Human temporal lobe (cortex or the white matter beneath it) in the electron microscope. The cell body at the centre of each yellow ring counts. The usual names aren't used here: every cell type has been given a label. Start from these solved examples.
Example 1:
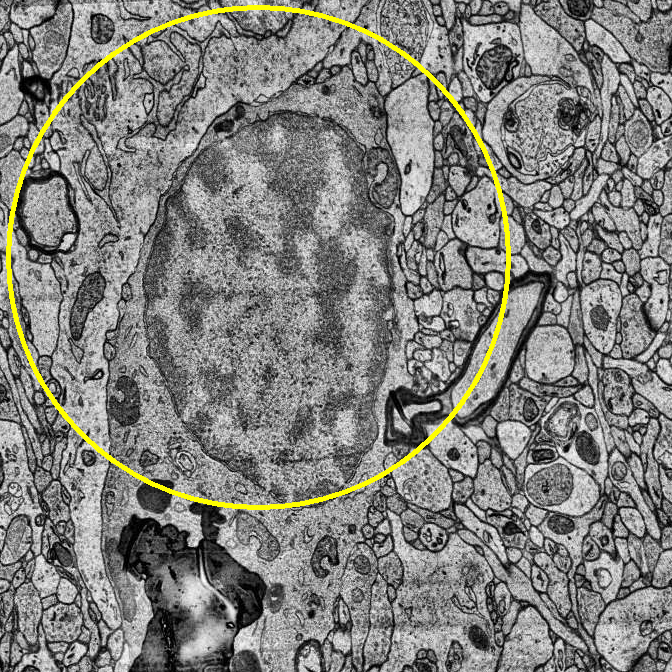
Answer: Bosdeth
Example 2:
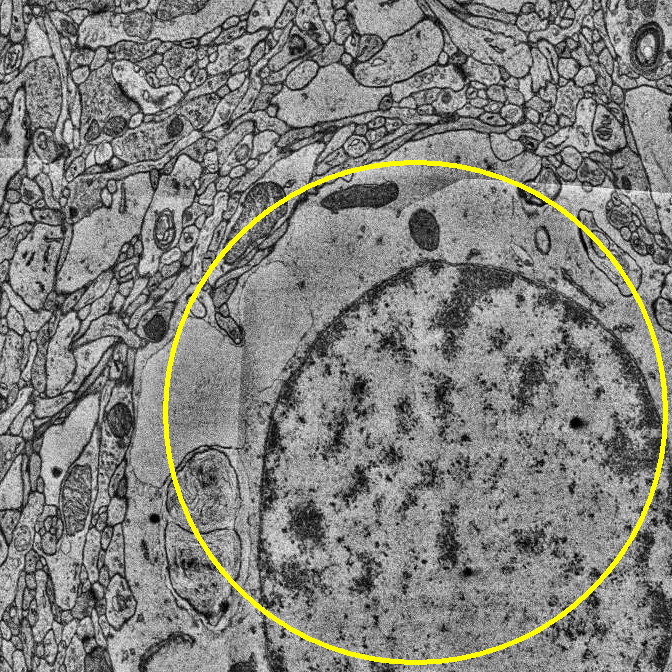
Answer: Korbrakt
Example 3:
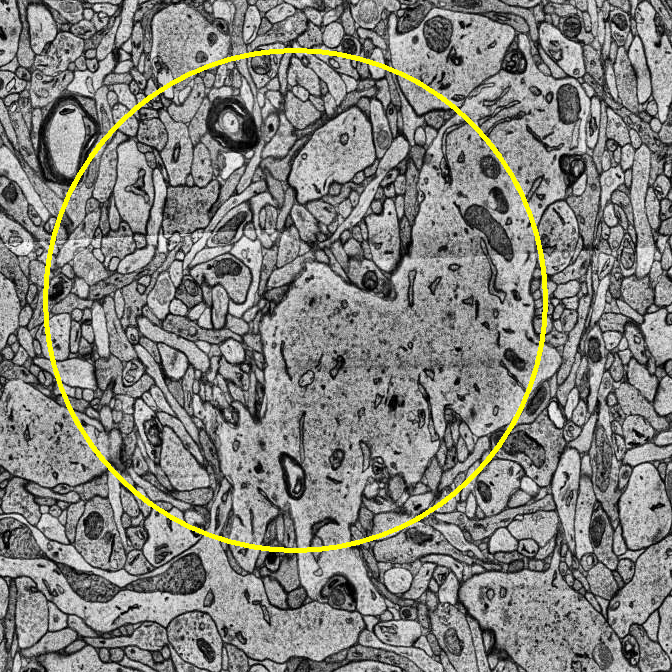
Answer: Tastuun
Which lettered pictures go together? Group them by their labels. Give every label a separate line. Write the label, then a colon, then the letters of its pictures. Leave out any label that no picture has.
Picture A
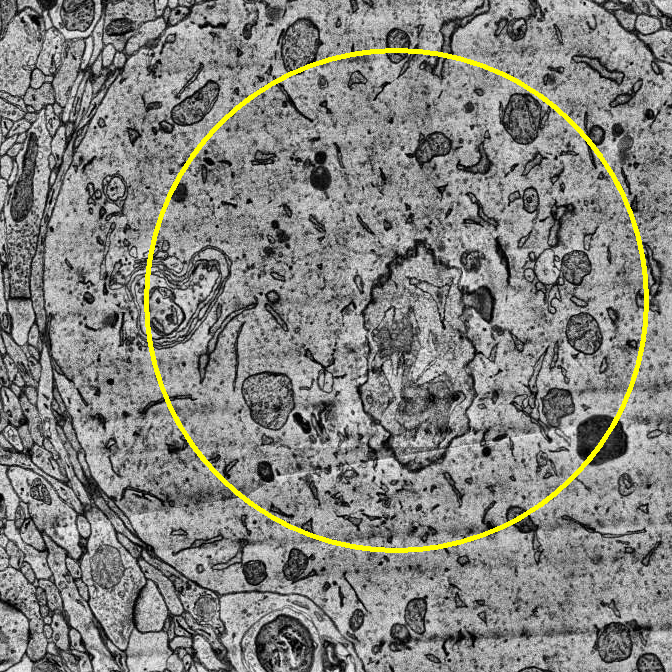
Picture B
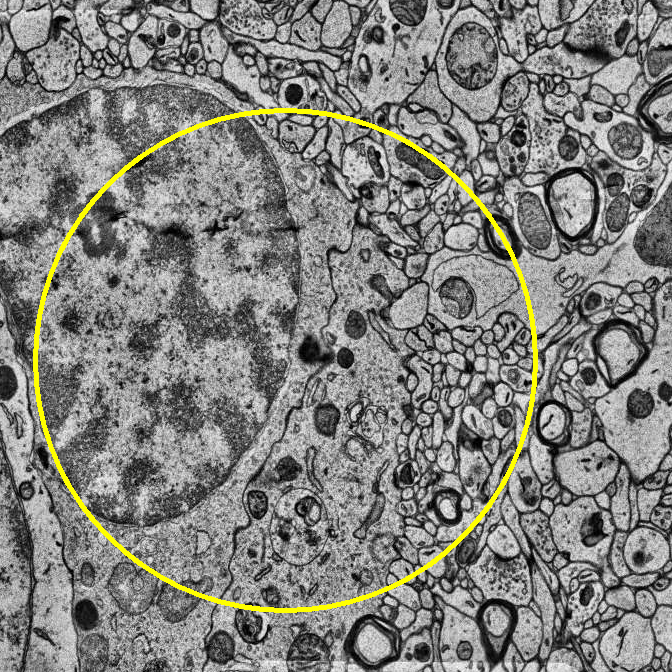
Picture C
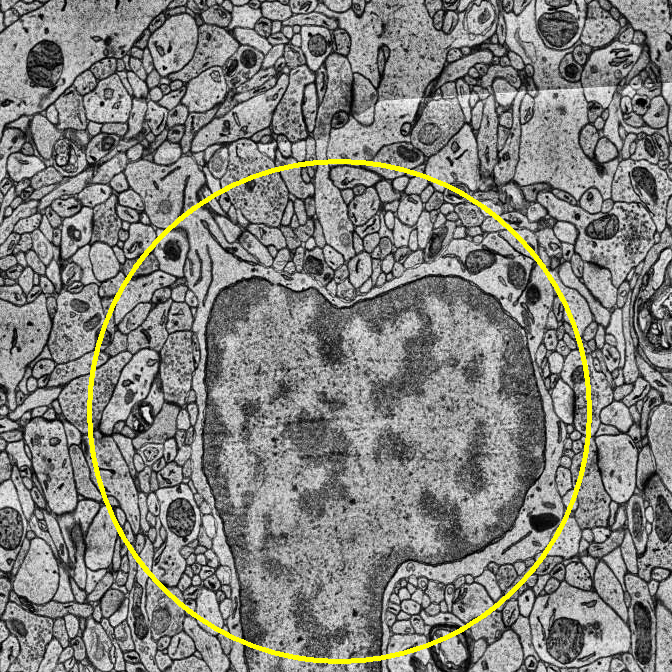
Bosdeth: A, B
Tastuun: C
